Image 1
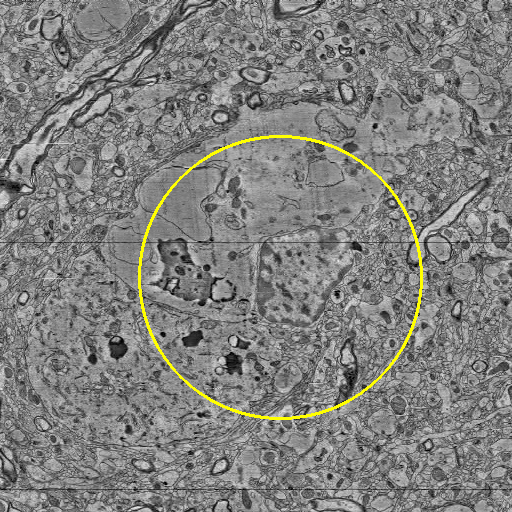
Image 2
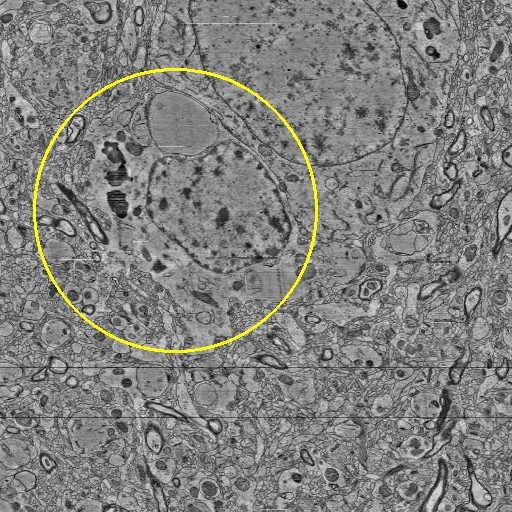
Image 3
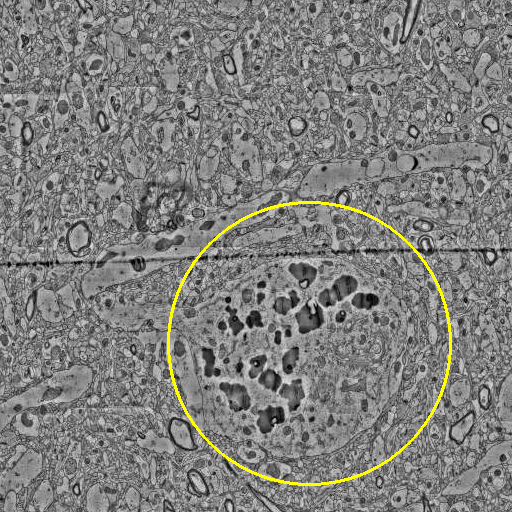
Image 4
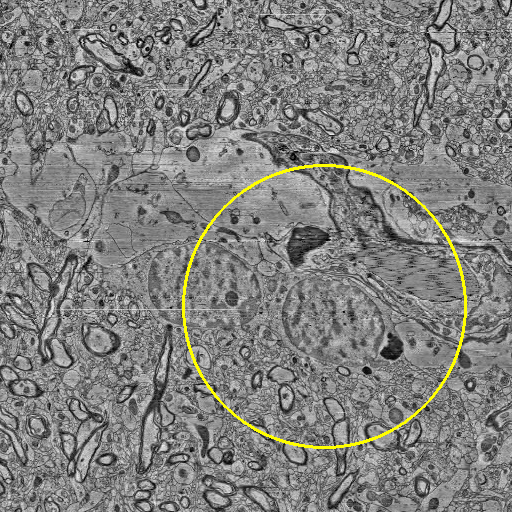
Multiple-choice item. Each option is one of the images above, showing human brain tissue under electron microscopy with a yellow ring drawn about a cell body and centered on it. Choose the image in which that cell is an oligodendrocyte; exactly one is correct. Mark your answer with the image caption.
Image 4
